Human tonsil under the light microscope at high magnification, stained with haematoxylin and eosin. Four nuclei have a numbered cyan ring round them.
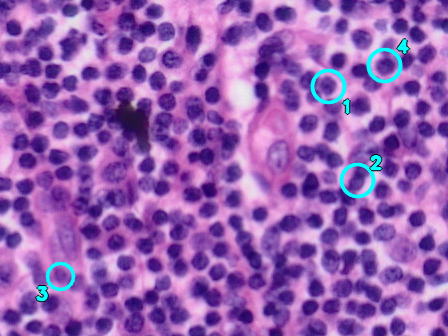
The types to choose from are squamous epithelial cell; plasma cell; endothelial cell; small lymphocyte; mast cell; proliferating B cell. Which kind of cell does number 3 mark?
endothelial cell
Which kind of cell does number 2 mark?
small lymphocyte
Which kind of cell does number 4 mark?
small lymphocyte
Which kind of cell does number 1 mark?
small lymphocyte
